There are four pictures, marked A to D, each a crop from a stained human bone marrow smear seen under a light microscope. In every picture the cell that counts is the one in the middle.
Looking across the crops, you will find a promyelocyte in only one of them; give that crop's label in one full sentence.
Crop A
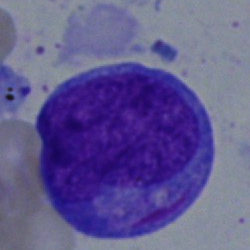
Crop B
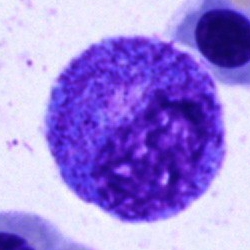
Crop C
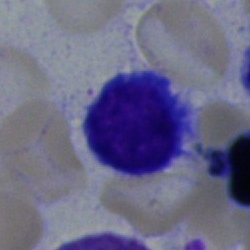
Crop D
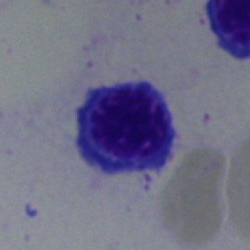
Crop B is the one depicting a promyelocyte.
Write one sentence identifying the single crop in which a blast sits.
The crop showing a blast in this series is crop A.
